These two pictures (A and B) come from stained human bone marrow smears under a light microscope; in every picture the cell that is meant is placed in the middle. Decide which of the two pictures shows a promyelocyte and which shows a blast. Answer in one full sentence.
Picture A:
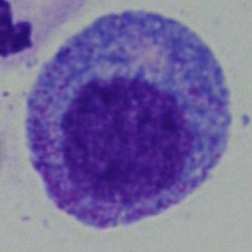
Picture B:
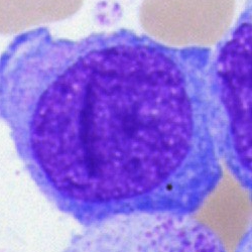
Picture B shows a blast, while picture A shows a promyelocyte.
